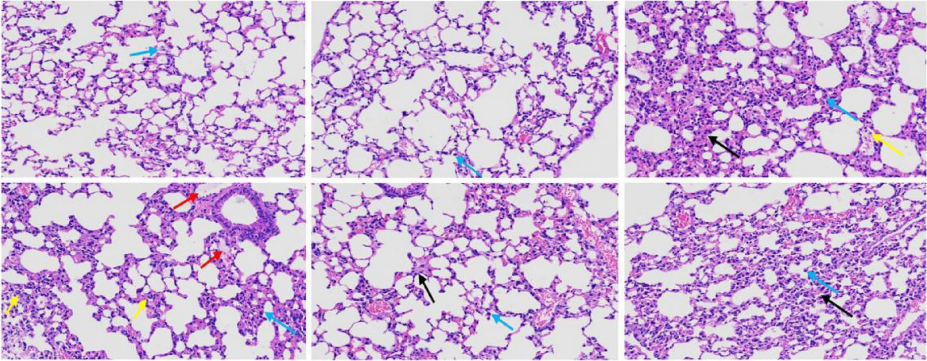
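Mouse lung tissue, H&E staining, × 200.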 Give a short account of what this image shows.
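In some fields the septa are thin and the alveolar spaces are wide and open. In others the septa are broad and densely packed with nuclei, and the air spaces are narrowed. Scattered cells lie within the septa and the alveolar spaces. In one field, pale pink material fills spaces beside a thick-walled airway.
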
